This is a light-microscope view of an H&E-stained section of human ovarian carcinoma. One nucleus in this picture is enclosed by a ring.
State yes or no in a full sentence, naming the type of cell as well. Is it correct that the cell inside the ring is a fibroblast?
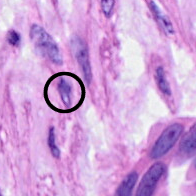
Yes, the cell inside the ring counts as a fibroblast in this tissue.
